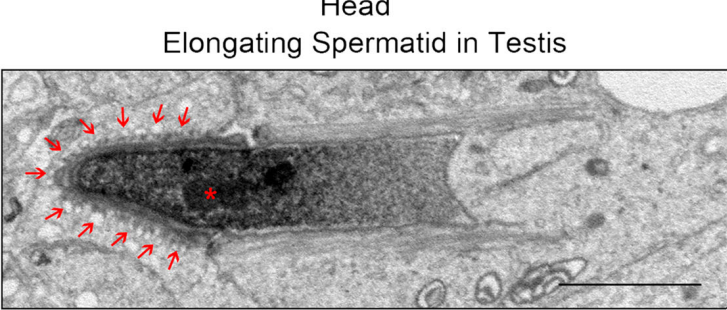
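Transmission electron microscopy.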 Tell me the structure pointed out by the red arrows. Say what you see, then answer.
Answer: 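Ectoplasmic specialization. The arrows line the membrane zone closely surrounding the apex of the elongated nucleus.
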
